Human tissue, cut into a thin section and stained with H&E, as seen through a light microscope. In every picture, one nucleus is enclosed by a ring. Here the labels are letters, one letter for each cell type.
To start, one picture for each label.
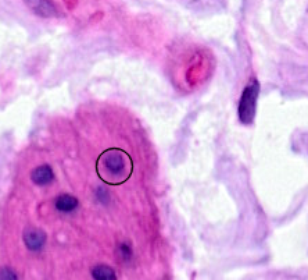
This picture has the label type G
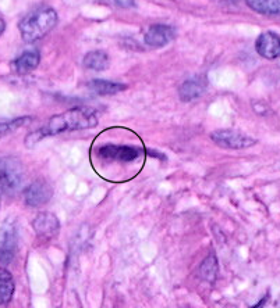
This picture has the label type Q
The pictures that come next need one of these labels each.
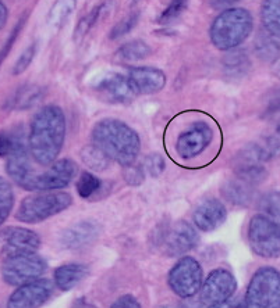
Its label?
type Q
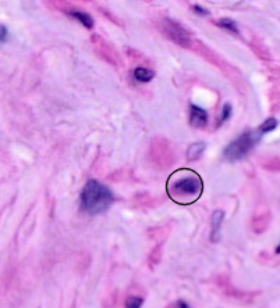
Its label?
type G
